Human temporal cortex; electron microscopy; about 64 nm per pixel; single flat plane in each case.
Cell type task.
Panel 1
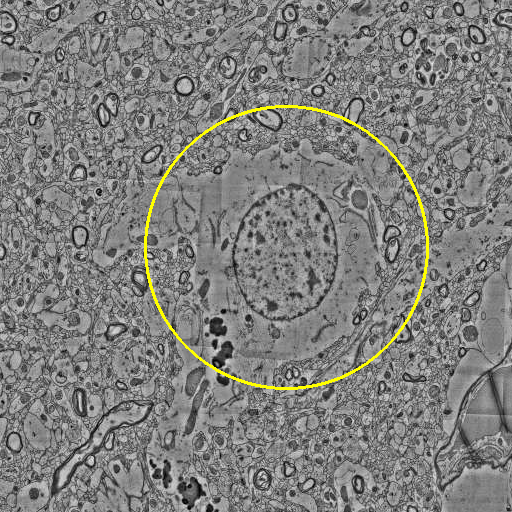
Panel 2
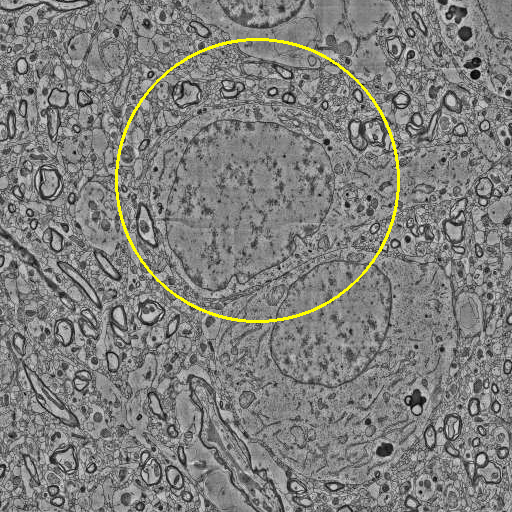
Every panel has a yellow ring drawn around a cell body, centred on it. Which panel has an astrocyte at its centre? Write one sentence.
It sits at the centre of the ring in Panel 1.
